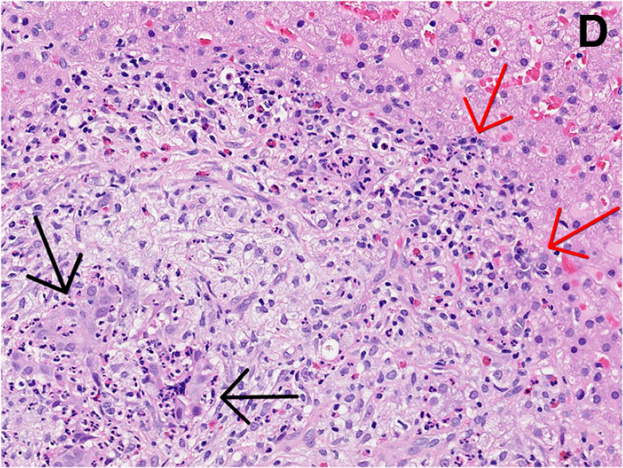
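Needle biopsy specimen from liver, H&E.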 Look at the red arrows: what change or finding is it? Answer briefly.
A: Interface hepatitis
